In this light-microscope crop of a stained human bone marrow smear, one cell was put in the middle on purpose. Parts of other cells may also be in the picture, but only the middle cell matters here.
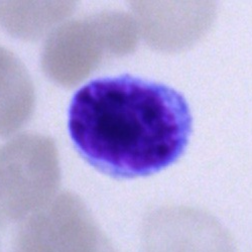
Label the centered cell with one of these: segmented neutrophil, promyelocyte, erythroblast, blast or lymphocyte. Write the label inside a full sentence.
In this smear crop, the middle cell is a lymphocyte.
